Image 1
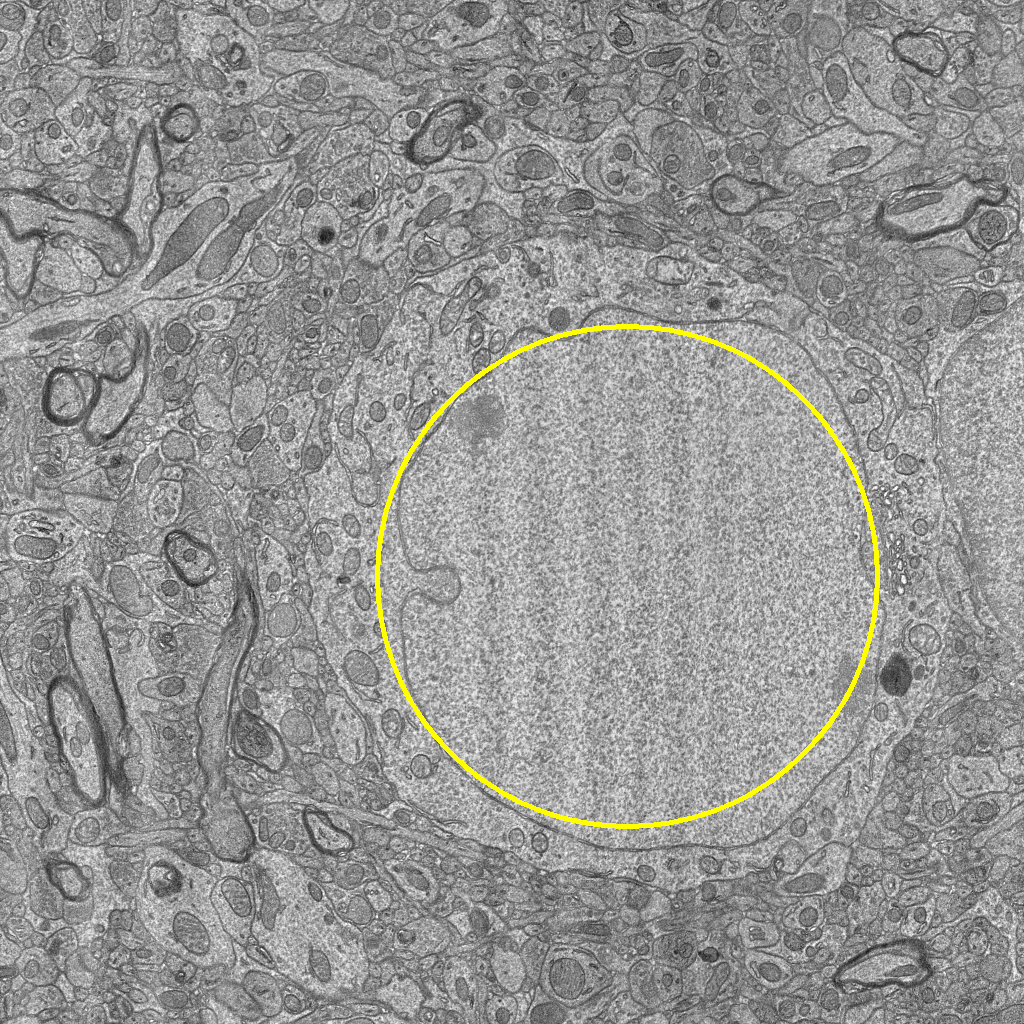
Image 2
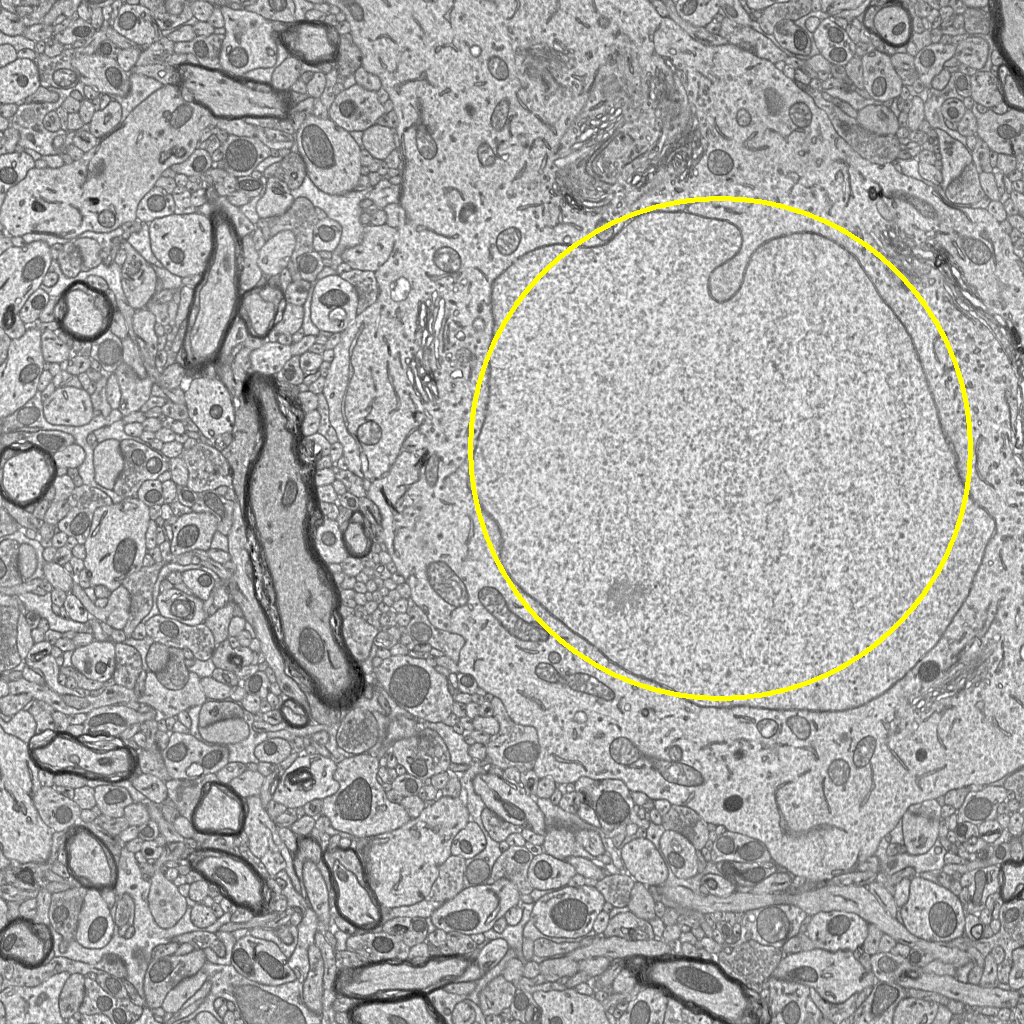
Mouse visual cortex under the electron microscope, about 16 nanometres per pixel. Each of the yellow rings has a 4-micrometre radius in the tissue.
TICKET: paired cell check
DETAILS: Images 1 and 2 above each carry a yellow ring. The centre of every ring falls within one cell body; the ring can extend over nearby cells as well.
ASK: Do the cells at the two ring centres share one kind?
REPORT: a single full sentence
Yes, the cells at the ring centres of Images 1 and 2 belong to a single kind.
